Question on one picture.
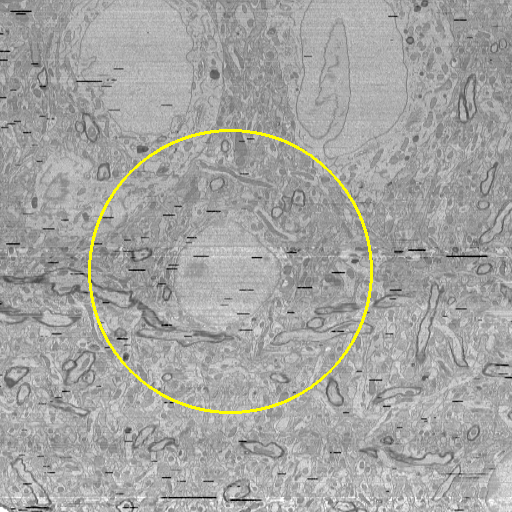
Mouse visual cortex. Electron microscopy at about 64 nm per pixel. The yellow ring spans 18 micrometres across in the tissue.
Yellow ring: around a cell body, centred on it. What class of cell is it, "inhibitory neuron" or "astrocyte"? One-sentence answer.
This is an astrocyte, the cell the ring is centred on.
